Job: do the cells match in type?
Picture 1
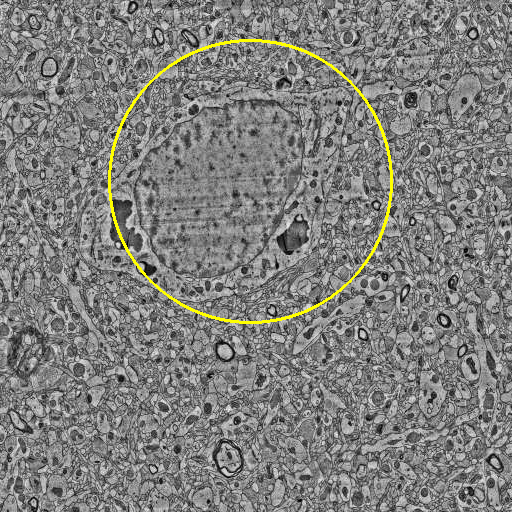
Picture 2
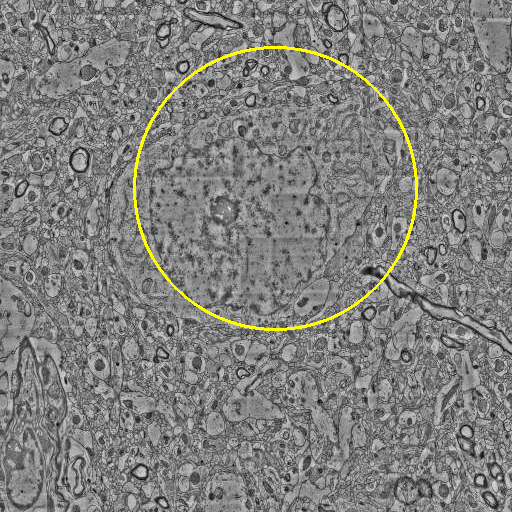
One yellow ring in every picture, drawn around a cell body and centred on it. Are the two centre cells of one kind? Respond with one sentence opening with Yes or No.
Yes, the ringed cells in the two pictures are of one and the same kind.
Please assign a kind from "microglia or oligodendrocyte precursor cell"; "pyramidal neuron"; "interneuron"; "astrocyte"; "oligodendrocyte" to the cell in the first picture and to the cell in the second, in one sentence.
Both the first and the second picture show an interneuron in the ring.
